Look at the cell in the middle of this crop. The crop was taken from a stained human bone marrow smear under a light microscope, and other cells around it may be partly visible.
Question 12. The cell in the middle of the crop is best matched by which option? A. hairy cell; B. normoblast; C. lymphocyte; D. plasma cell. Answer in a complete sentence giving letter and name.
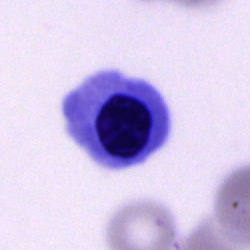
Option B correctly states that the central cell is a normoblast.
